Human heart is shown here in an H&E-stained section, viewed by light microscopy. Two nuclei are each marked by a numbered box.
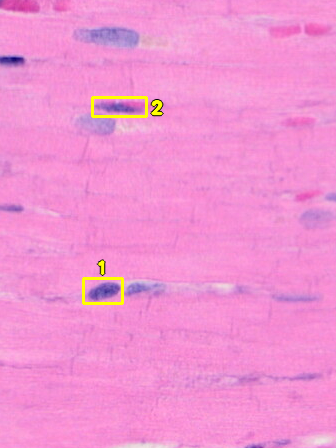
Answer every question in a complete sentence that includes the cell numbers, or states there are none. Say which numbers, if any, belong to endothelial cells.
With the exception of cell 2, no marked cell is an endothelial cell.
